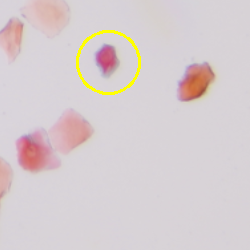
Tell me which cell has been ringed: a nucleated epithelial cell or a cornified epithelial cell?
It is a nucleated epithelial cell.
